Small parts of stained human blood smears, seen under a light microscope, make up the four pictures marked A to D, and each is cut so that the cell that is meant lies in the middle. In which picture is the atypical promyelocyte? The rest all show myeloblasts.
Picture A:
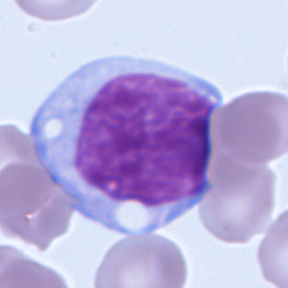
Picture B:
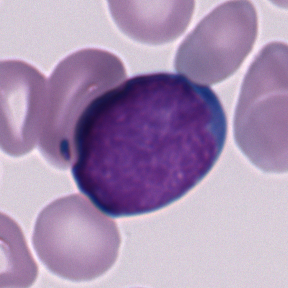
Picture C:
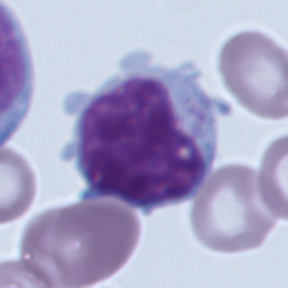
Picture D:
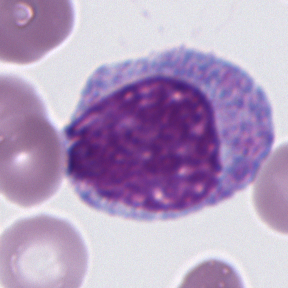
D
